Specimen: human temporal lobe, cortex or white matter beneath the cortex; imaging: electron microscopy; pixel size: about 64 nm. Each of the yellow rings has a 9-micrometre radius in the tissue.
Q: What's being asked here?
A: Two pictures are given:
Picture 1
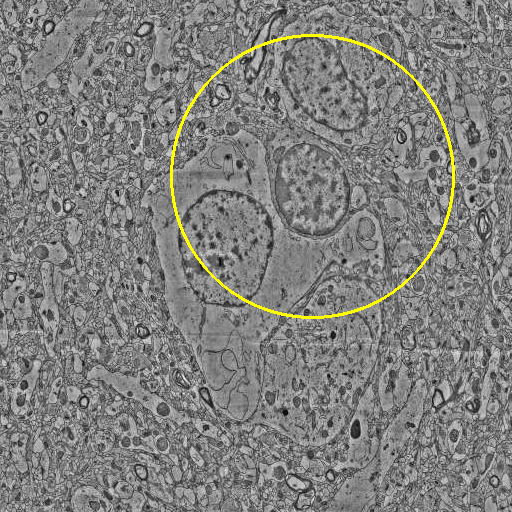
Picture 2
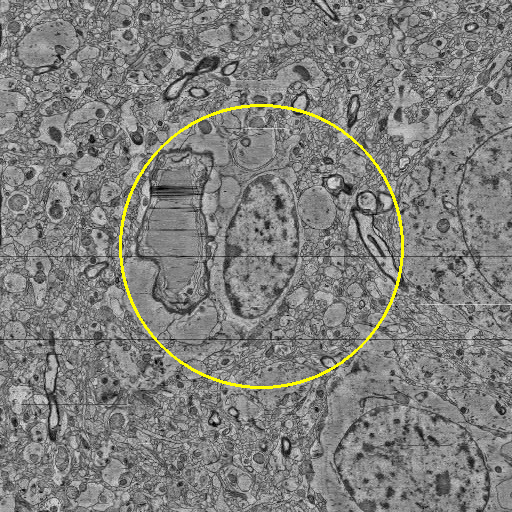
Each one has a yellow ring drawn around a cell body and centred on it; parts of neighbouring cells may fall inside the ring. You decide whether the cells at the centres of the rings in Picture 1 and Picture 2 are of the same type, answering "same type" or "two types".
two types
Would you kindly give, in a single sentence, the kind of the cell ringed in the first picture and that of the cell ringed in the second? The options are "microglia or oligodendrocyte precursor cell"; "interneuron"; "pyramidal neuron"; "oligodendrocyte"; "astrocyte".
The second cell is a microglial cell or oligodendrocyte precursor cell, and the first cell is an oligodendrocyte.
